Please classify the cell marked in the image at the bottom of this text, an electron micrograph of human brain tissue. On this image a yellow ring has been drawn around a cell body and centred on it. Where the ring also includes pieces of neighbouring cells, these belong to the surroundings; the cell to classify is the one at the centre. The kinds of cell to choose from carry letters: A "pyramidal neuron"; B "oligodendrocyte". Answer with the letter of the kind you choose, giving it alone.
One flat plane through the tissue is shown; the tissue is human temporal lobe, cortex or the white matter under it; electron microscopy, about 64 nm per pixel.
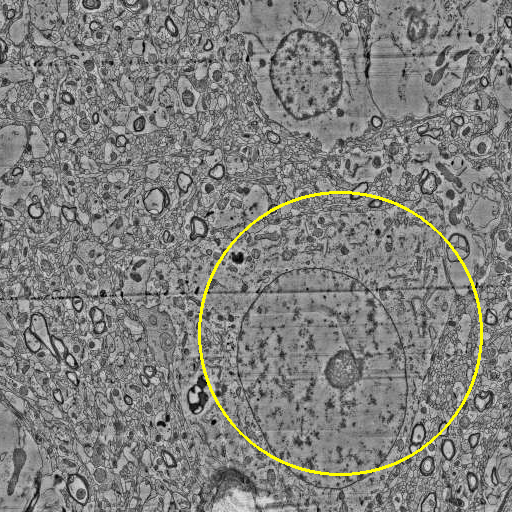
A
